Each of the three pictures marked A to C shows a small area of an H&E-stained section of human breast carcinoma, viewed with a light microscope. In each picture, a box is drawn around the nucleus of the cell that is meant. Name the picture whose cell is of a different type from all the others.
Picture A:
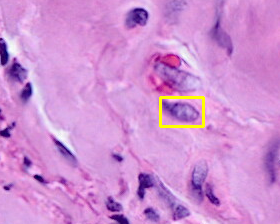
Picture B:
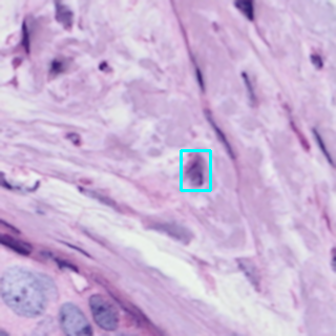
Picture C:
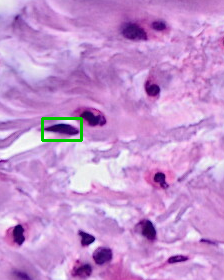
A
